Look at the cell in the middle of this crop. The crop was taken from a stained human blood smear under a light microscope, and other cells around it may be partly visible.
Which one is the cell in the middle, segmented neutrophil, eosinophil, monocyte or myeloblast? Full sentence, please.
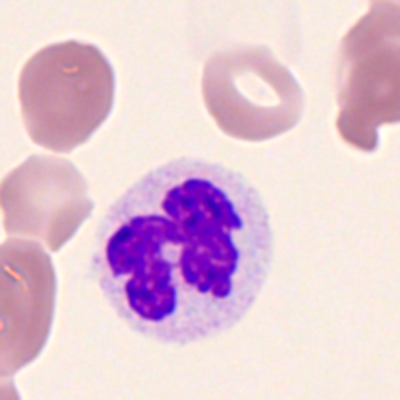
Centred in the crop is a segmented neutrophil.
